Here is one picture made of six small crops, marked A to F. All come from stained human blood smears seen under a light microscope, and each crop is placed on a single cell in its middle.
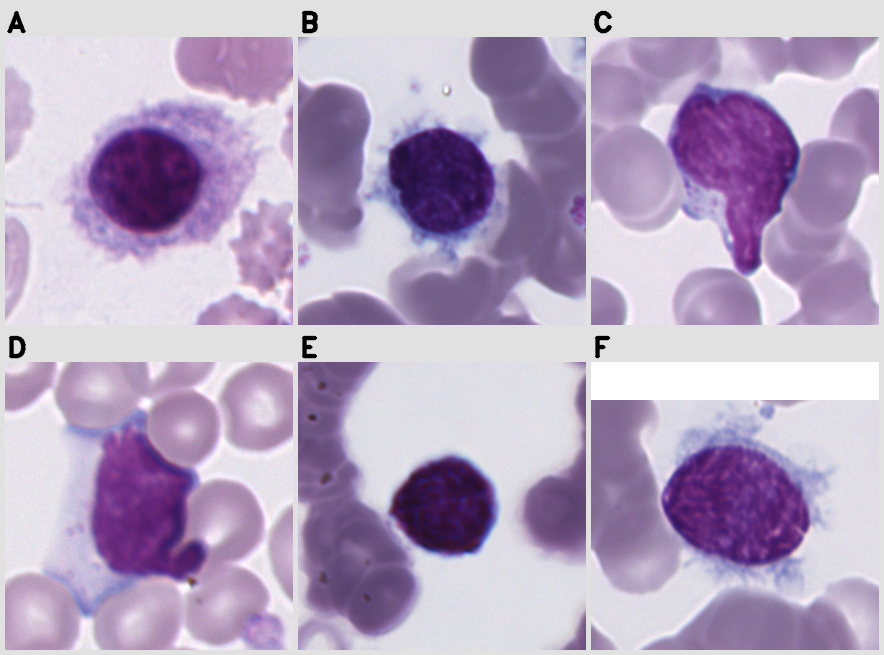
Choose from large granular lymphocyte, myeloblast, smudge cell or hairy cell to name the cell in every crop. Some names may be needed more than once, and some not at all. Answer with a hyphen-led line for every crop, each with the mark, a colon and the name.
- A: hairy cell
- B: hairy cell
- C: large granular lymphocyte
- D: large granular lymphocyte
- E: myeloblast
- F: hairy cell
